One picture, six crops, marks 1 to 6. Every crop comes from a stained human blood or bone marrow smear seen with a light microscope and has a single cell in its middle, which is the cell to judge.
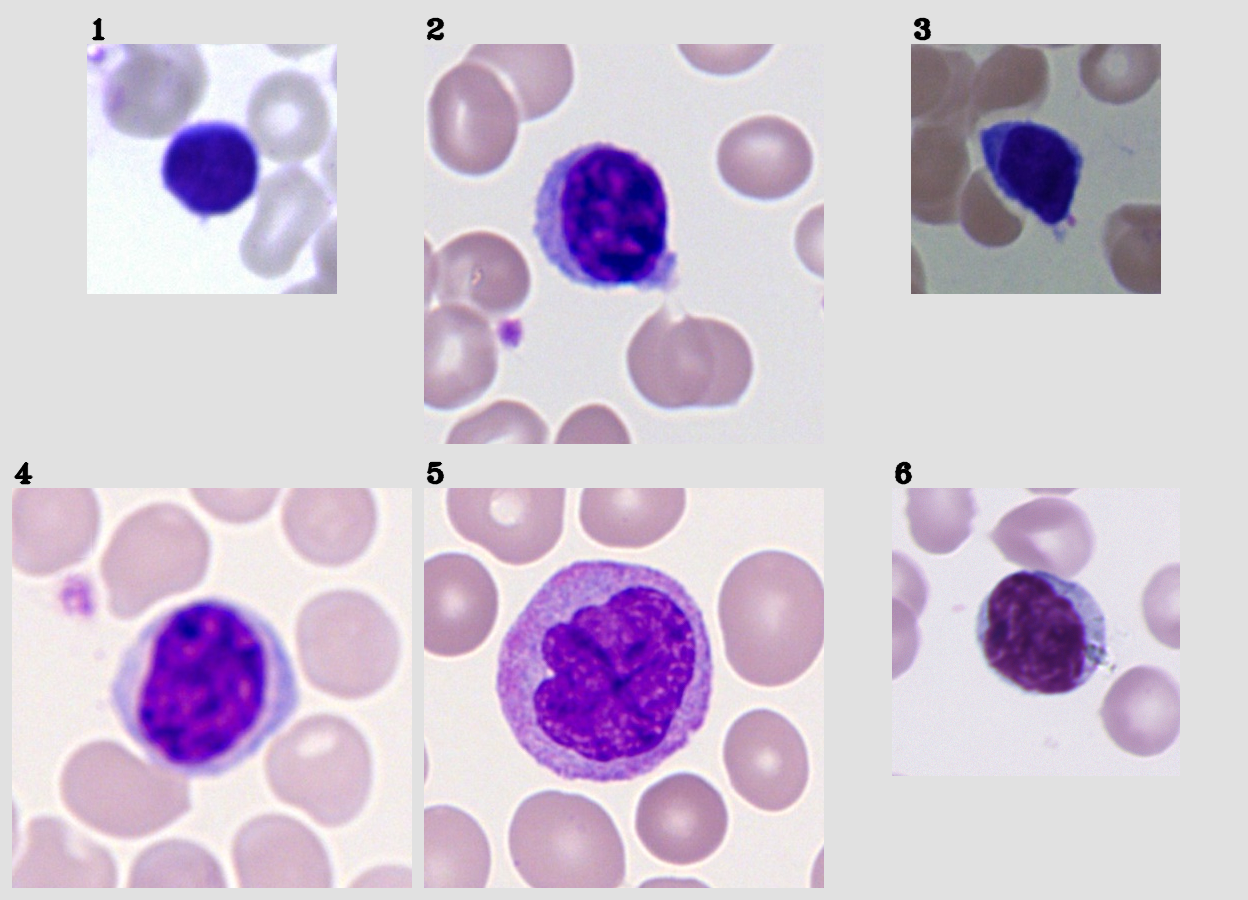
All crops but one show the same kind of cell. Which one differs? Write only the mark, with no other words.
5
